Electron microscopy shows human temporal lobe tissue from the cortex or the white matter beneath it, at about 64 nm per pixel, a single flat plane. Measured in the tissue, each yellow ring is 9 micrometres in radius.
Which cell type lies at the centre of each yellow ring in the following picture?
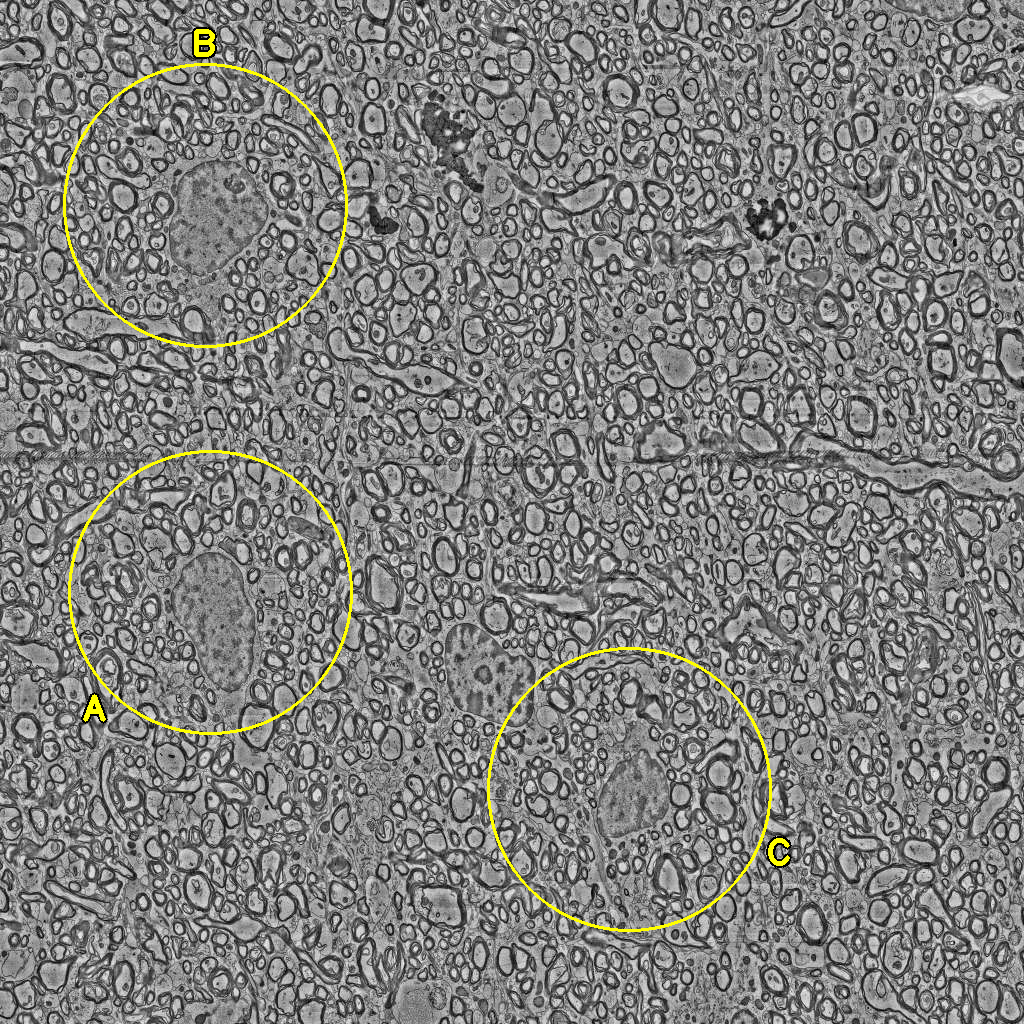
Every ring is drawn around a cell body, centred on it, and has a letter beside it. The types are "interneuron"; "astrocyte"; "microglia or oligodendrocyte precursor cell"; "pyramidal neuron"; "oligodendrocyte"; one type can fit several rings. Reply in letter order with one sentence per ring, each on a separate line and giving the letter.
Ring A marks the cell body of an oligodendrocyte.
Ring B marks the cell body of an oligodendrocyte.
Ring C marks the cell body of an oligodendrocyte.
